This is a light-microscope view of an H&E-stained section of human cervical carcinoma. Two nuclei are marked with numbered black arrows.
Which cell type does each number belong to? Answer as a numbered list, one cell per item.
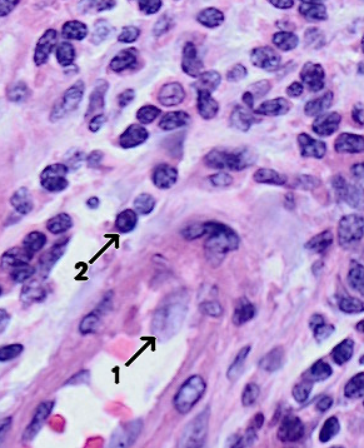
1. endothelial cell
2. lymphocyte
